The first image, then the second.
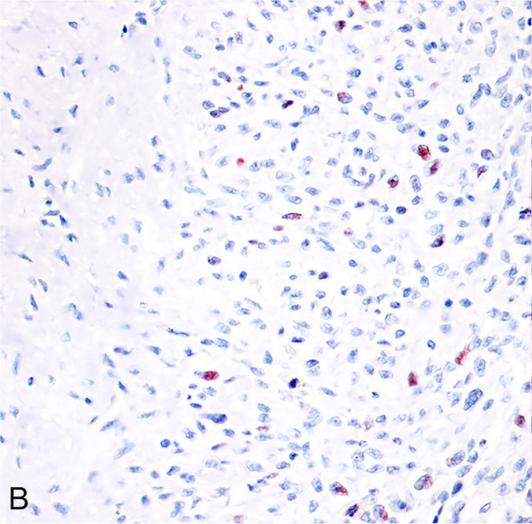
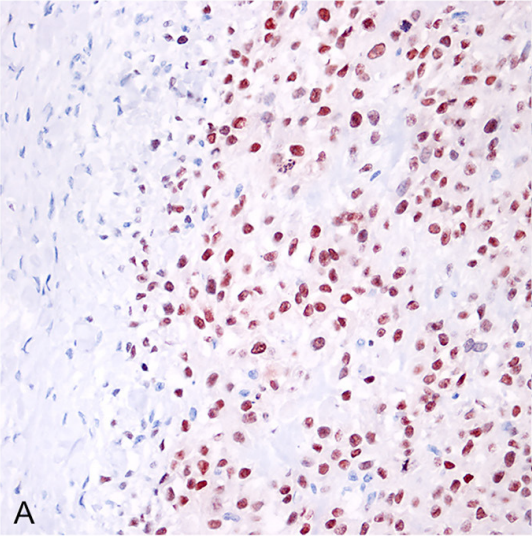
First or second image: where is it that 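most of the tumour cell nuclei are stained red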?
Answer: The second image.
